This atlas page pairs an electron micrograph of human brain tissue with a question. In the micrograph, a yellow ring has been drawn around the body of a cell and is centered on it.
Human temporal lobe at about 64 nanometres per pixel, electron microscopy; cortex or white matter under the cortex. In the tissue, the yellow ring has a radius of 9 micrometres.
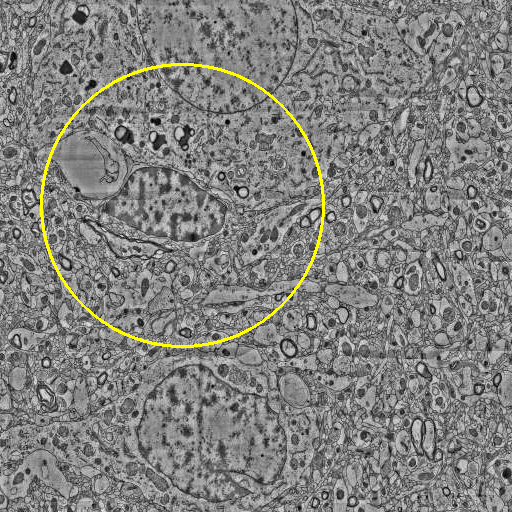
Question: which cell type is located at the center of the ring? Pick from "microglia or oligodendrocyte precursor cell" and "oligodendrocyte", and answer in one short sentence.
Located at the center of the ring is a microglial cell or oligodendrocyte precursor cell.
